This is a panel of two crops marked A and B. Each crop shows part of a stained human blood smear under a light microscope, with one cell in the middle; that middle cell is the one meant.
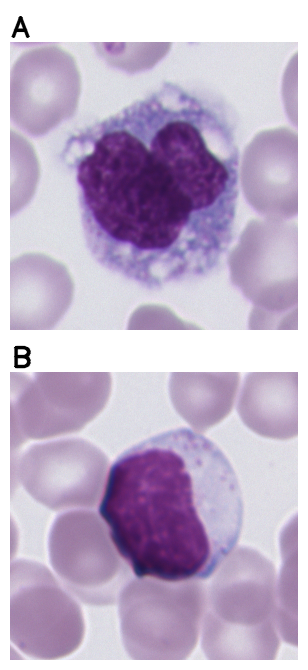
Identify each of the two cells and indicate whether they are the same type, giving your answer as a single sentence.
No, crop A represents a monocyte, and crop B represents a large granular lymphocyte.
